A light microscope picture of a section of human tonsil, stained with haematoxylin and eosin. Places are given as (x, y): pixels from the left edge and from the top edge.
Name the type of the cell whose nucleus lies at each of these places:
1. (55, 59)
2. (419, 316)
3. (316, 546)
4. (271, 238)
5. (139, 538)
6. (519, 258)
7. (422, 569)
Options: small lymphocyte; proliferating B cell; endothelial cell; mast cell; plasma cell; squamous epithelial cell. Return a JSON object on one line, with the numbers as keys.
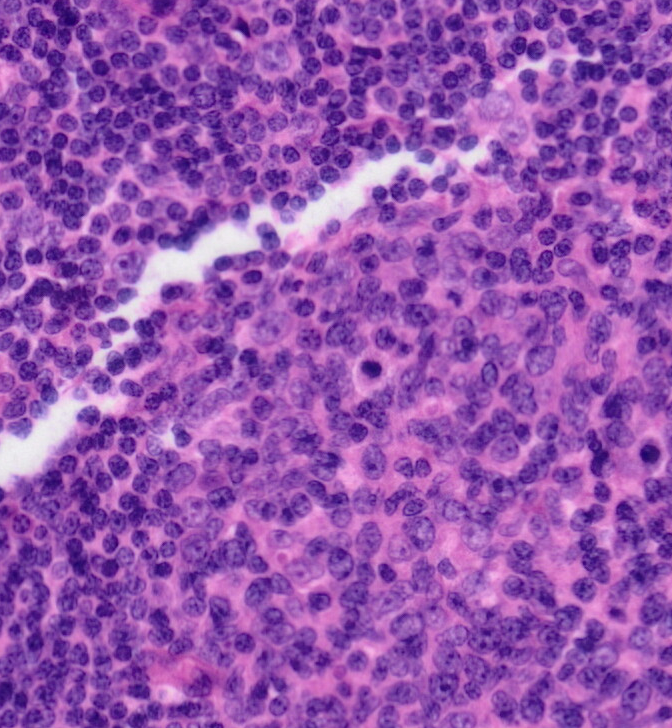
{"1": "small lymphocyte", "2": "proliferating B cell", "3": "proliferating B cell", "4": "small lymphocyte", "5": "small lymphocyte", "6": "proliferating B cell", "7": "proliferating B cell"}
